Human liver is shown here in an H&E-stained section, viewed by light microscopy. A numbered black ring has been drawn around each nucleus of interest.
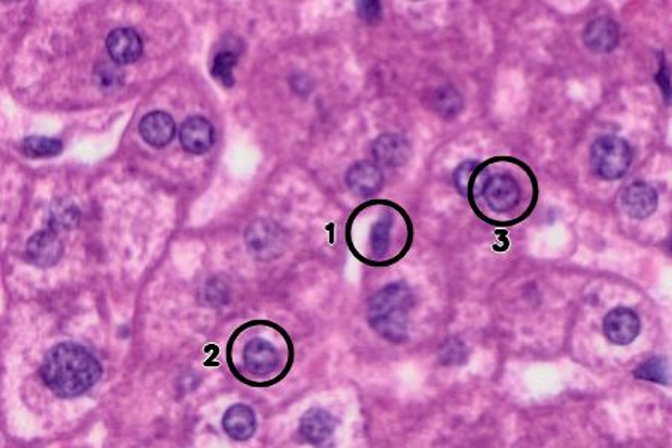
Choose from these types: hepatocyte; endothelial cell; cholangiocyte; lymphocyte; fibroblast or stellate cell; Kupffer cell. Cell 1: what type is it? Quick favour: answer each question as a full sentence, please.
Nucleus 1 in this section belongs to a Kupffer cell.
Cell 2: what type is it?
Among the marked cells, number 2 is a hepatocyte.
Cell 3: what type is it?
The cell tagged with 3 in this tissue section is a hepatocyte.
